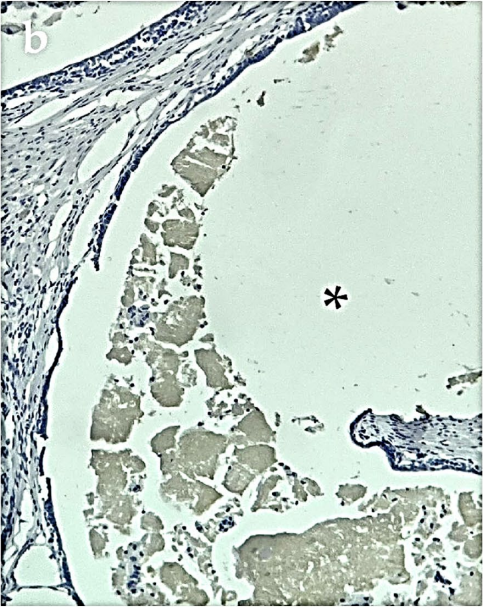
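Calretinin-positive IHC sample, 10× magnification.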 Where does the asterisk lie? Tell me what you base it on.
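Interior of cysts. The space holds pale homogeneous material with clumps and scattered loose cells.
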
